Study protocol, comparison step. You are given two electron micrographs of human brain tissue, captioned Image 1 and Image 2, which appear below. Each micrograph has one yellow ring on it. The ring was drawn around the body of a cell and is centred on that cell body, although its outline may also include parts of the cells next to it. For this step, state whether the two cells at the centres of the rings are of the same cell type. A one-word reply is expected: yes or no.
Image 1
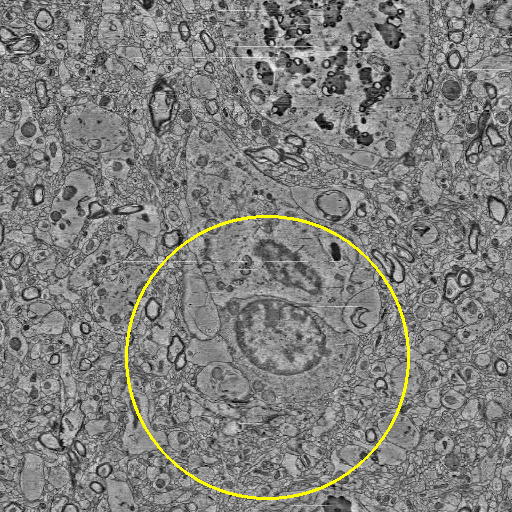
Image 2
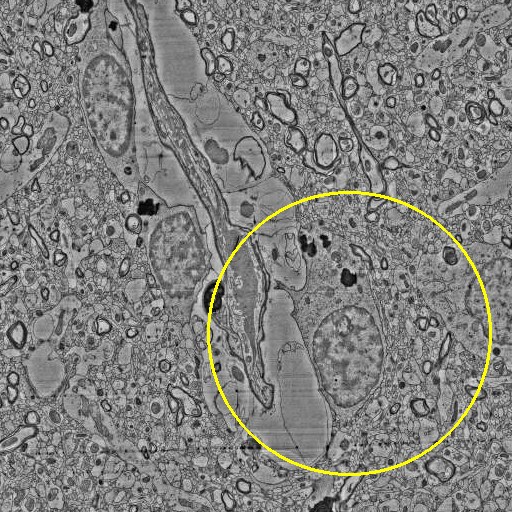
yes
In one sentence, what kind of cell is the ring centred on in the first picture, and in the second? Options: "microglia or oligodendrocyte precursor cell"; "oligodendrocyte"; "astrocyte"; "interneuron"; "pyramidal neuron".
In both pictures the ring is centred on an oligodendrocyte.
